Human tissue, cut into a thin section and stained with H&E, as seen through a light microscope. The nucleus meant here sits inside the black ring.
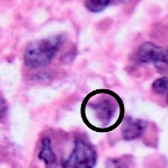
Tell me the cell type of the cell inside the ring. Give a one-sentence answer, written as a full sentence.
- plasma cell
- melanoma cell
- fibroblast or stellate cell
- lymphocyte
At the level of cell identity, the cell inside the ring is a melanoma cell.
